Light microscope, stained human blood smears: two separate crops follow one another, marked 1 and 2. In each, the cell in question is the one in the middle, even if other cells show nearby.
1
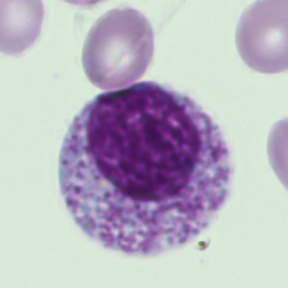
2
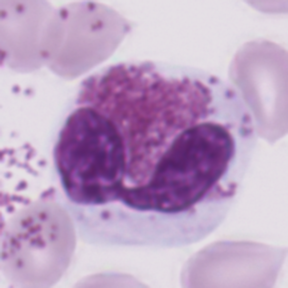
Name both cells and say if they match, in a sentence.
No, while a myelocyte is found in crop 1, an eosinophil is found in crop 2.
